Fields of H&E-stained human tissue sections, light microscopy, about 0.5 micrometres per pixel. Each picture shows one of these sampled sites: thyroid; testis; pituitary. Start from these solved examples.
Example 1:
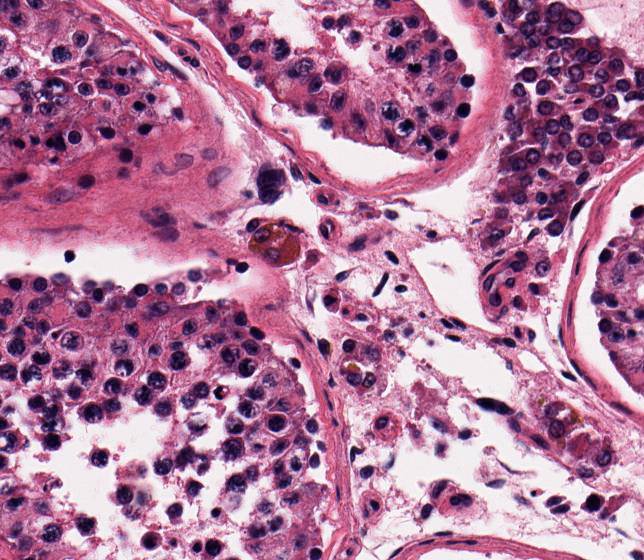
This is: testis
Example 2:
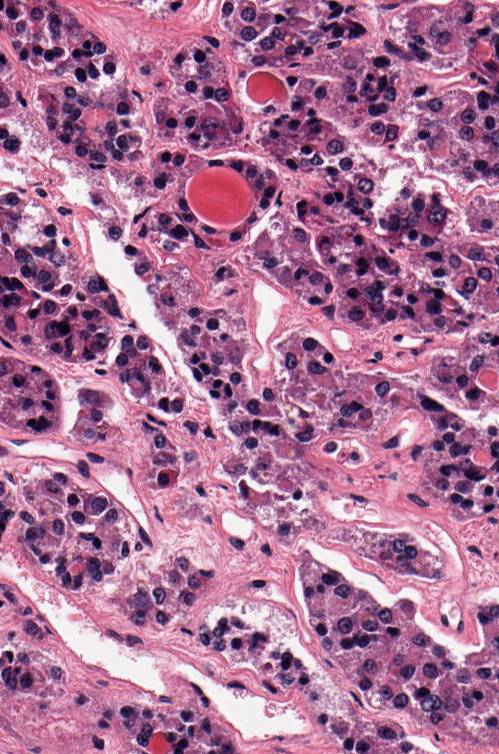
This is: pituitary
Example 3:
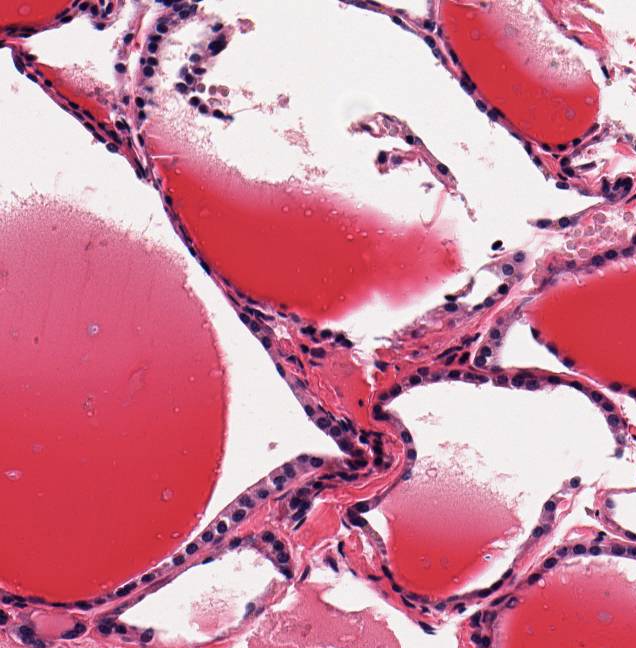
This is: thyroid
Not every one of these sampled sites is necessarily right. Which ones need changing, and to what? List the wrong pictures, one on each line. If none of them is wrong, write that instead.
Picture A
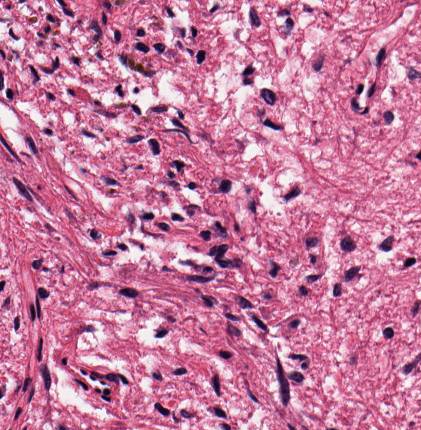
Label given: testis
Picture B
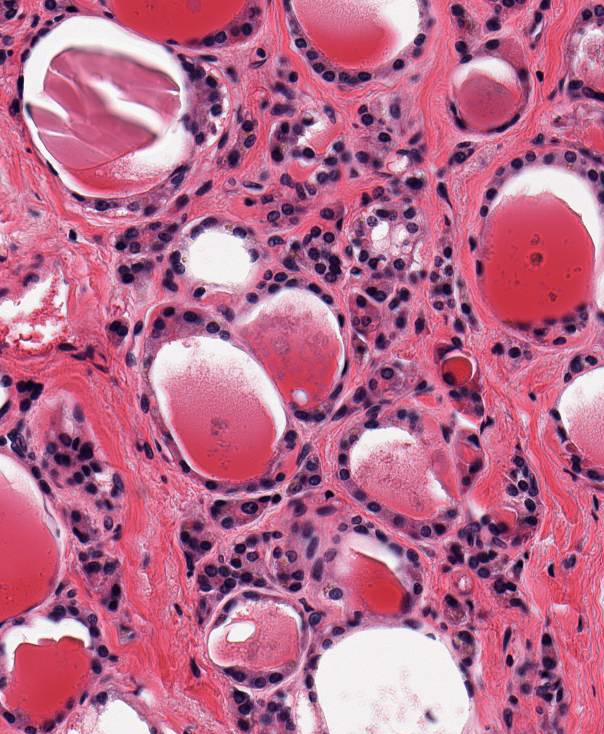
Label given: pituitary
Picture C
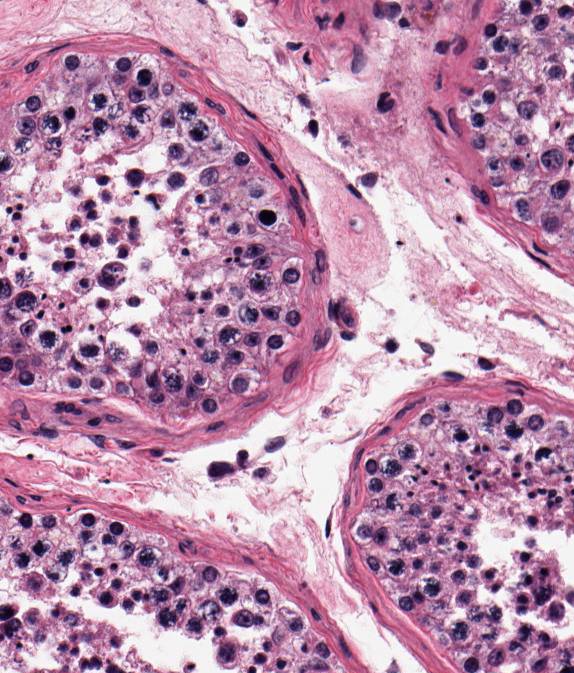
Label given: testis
A is labelled testis; correct label: pituitary
B is labelled pituitary; correct label: thyroid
